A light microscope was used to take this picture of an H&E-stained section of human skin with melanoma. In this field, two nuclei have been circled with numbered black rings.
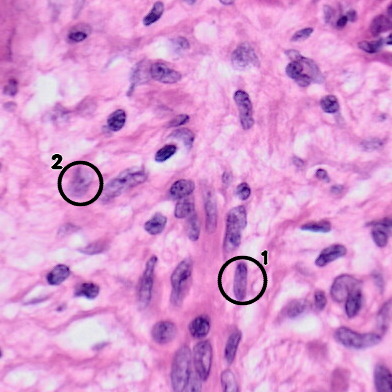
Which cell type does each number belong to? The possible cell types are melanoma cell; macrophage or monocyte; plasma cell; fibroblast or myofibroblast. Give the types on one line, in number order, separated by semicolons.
macrophage or monocyte; fibroblast or myofibroblast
